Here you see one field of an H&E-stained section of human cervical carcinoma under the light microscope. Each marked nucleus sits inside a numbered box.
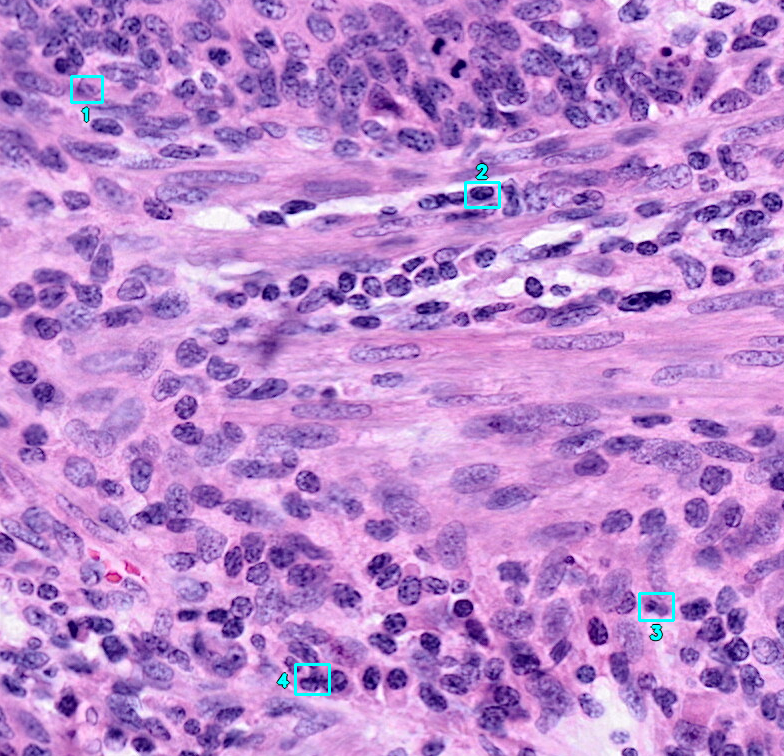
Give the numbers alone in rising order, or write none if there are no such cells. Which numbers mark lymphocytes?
2, 3, 4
